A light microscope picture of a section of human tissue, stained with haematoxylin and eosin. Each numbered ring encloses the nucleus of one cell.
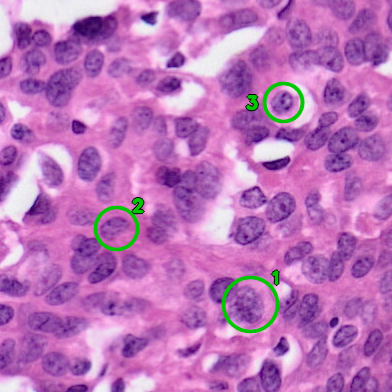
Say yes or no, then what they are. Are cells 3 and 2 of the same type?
No, cell 3 is a macrophage or monocyte and cell 2 is a carcinoma cell.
